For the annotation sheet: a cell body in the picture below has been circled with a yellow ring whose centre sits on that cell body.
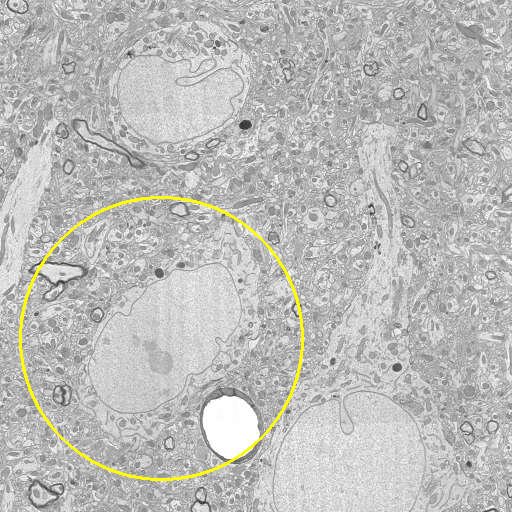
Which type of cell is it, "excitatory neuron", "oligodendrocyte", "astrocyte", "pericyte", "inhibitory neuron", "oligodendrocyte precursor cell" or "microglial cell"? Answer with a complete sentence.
The circled cell is an excitatory neuron.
